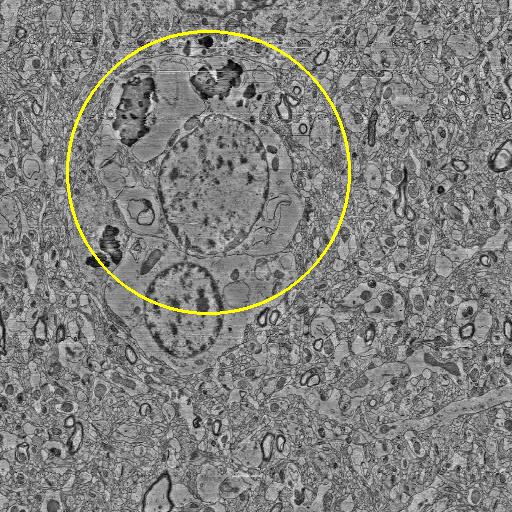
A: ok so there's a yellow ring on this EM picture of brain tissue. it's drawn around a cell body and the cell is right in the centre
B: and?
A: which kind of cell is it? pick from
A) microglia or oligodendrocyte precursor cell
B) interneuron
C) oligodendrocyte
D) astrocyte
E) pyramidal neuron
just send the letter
D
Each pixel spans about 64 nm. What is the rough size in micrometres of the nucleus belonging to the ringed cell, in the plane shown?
In this plane, the nucleus of the cell at the centre of the ring measures about 10 by 7 micrometres.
